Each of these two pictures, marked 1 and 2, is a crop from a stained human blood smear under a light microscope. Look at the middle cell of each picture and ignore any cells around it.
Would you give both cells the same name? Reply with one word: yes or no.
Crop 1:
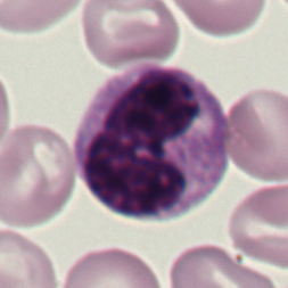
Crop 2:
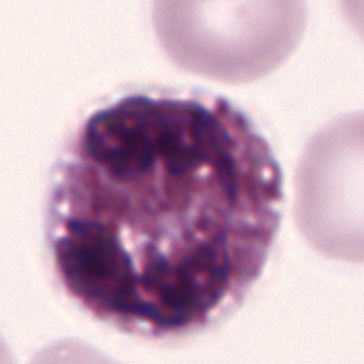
no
